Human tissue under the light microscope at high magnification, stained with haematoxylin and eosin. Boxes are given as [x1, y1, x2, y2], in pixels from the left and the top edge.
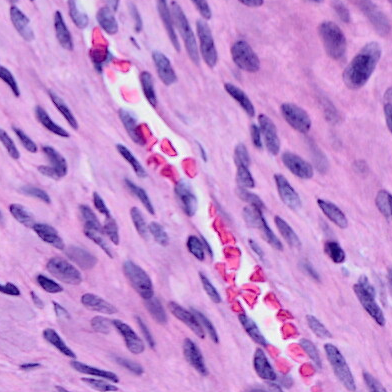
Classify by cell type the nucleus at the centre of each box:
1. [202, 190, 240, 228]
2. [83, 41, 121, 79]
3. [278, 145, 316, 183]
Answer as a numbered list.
1. endothelial cell
2. endothelial cell
3. fibroblast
